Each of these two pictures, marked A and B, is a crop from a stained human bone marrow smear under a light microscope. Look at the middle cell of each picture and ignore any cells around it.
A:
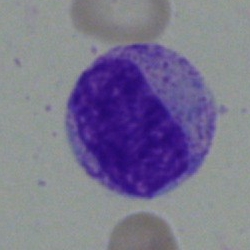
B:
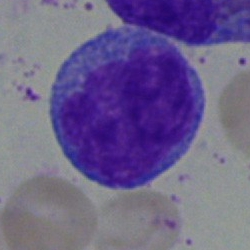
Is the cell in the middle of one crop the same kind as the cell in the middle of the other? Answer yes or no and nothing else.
no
